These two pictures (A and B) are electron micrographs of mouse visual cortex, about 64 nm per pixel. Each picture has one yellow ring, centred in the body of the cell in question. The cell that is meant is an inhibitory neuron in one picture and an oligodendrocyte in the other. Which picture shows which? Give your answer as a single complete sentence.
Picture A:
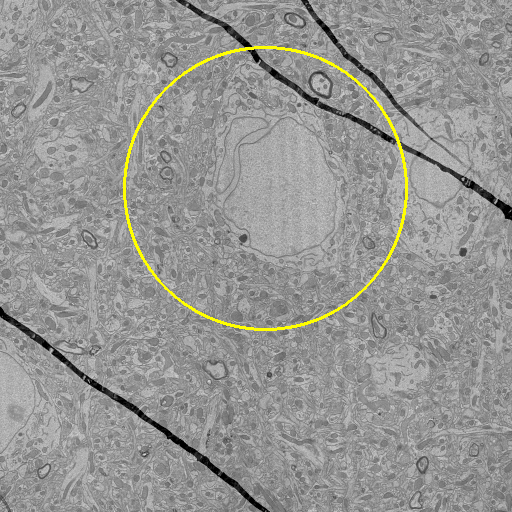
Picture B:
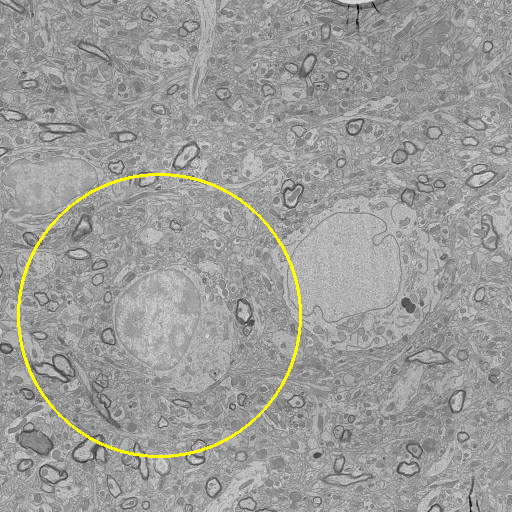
Picture A shows an inhibitory neuron and picture B shows an oligodendrocyte.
